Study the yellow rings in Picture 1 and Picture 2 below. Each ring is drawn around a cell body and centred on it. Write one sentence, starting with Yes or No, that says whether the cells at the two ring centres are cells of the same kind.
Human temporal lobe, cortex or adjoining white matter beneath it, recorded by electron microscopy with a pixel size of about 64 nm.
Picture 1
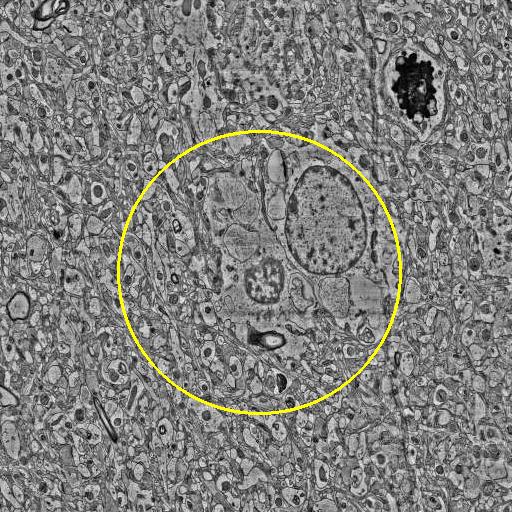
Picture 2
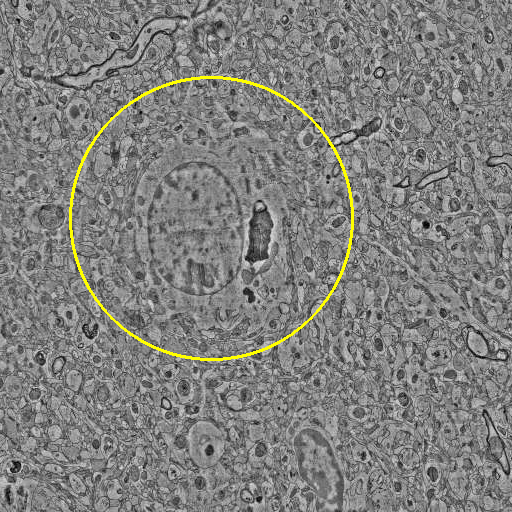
Yes, the cells at both ring centres are of the same kind.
